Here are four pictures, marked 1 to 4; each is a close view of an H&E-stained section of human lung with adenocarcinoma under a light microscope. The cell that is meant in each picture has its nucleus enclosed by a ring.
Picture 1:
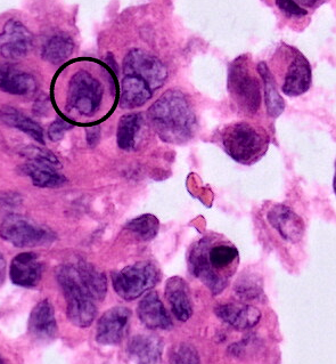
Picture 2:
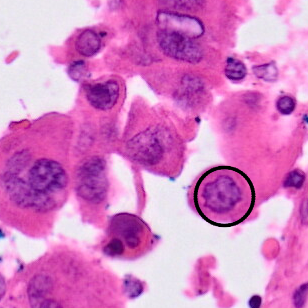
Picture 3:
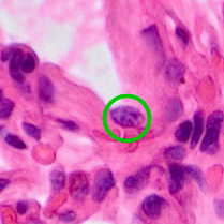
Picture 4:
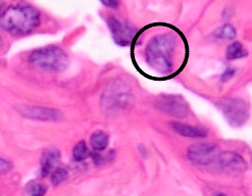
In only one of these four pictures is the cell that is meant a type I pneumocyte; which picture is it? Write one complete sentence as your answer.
It is picture 3 that shows the type I pneumocyte.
